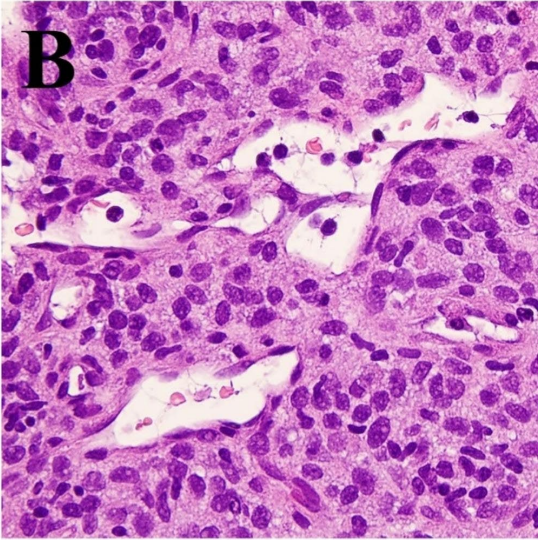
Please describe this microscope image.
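A highly cellular tumor of round to ovoid cells is arranged in solid sheets around thin-walled, irregular, branching vascular channels. The vessels are lined by flattened cells and hold a few red blood cells; tumor cells abut them directly without intervening stroma. The tumor cells have pale pink, finely granular cytoplasm with indistinct cell borders.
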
